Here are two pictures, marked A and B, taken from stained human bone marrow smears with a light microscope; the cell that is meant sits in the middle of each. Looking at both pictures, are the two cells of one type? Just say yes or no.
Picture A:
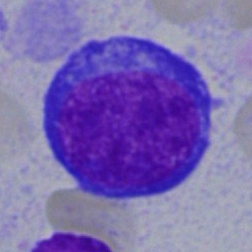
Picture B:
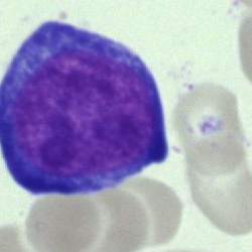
yes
